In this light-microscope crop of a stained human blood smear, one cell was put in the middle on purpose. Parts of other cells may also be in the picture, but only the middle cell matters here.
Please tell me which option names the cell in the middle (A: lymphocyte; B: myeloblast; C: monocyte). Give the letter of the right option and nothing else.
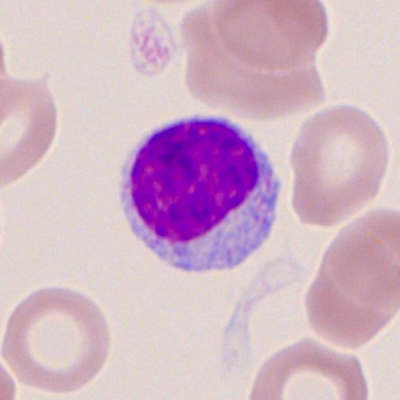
A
